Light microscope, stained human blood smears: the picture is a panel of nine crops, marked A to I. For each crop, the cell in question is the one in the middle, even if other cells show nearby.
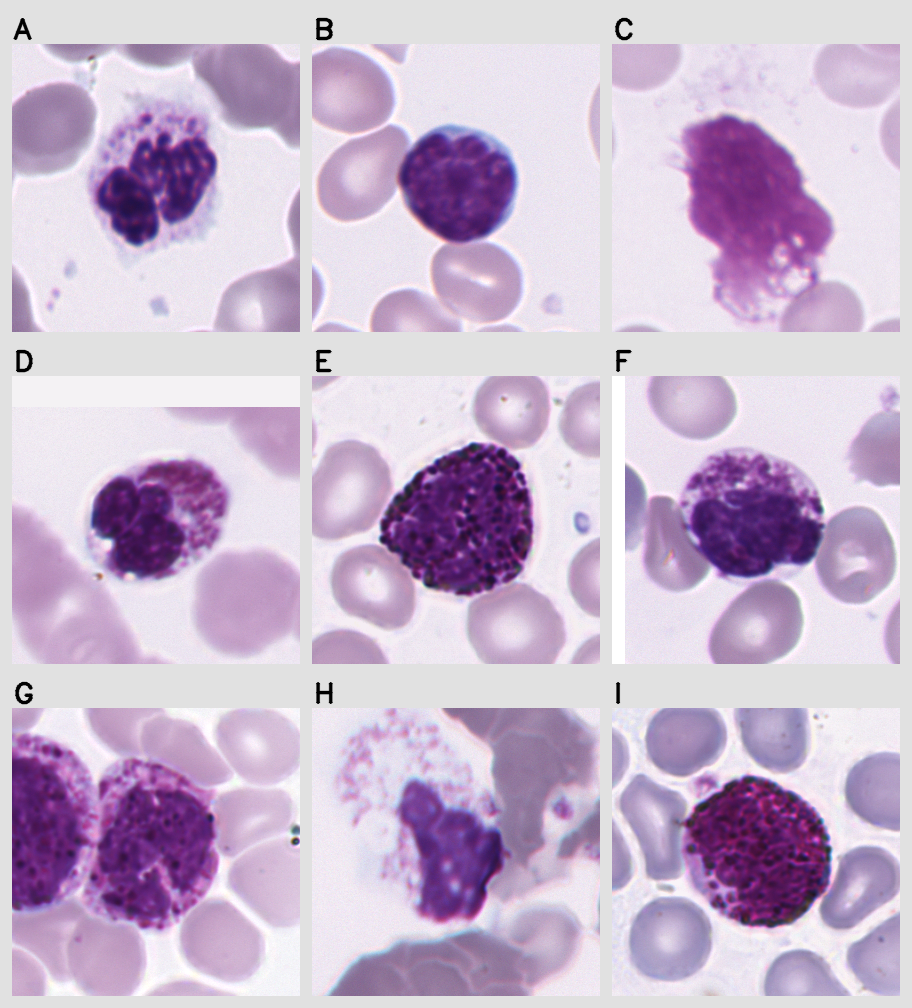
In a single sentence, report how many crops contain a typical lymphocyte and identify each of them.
There is precisely one crop containing a typical lymphocyte, and that is crop B.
